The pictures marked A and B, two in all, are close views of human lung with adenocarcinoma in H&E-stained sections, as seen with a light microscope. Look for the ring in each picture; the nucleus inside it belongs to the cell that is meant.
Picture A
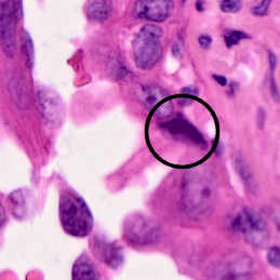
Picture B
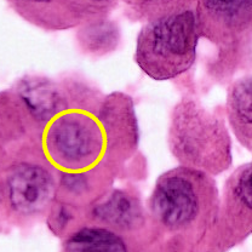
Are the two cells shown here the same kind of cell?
yes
